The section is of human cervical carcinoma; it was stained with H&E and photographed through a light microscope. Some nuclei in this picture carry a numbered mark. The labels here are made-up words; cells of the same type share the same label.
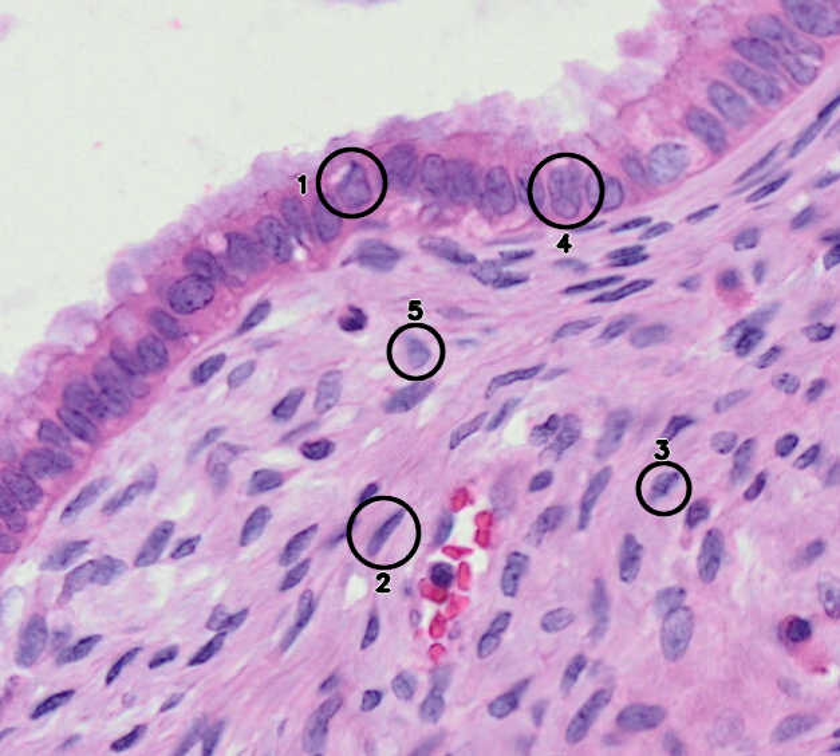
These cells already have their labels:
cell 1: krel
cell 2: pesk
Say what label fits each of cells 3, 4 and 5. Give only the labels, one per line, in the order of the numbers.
pesk
krel
pesk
